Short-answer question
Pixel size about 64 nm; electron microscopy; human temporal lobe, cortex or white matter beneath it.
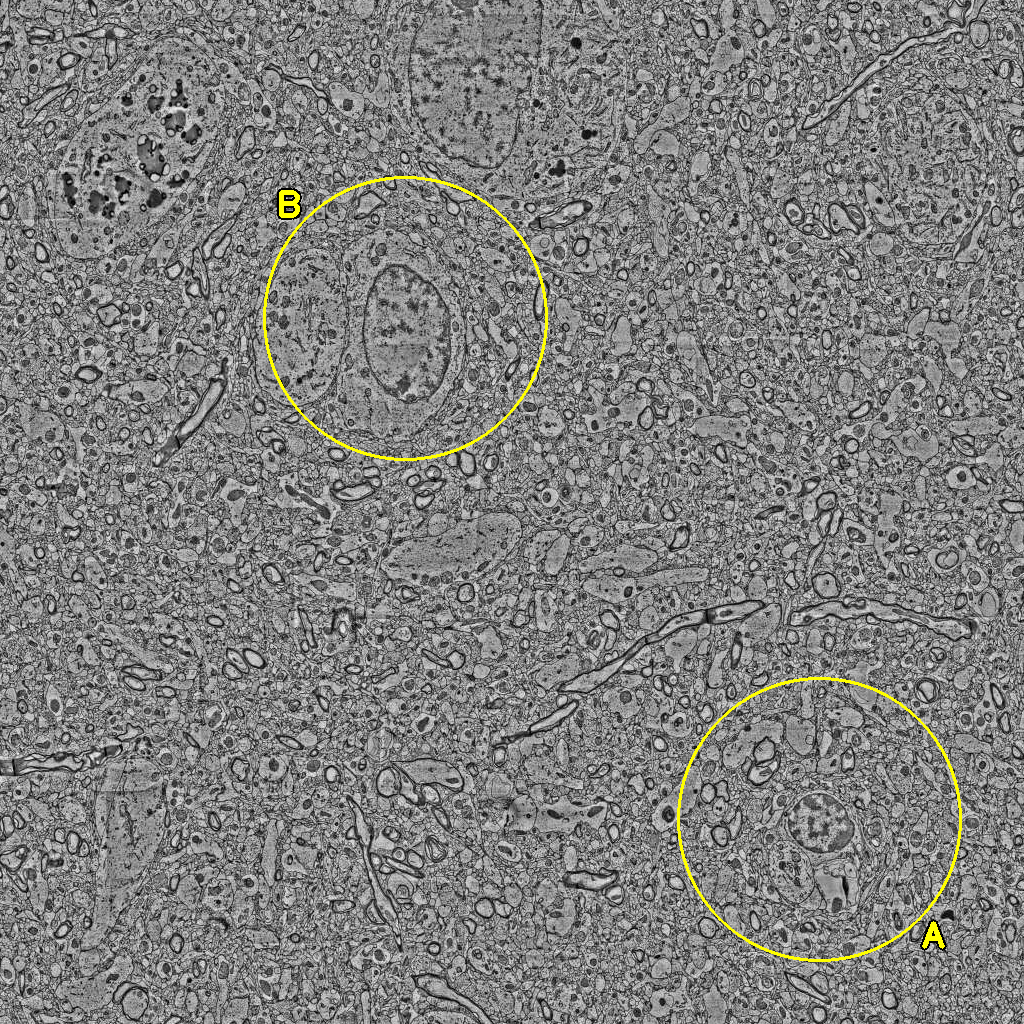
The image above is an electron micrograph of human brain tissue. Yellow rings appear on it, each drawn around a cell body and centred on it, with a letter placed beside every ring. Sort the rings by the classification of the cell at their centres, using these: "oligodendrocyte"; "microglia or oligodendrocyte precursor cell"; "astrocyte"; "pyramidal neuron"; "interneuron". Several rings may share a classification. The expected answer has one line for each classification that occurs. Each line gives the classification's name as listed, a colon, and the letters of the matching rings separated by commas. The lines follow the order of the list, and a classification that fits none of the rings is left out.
microglia or oligodendrocyte precursor cell: A
interneuron: B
